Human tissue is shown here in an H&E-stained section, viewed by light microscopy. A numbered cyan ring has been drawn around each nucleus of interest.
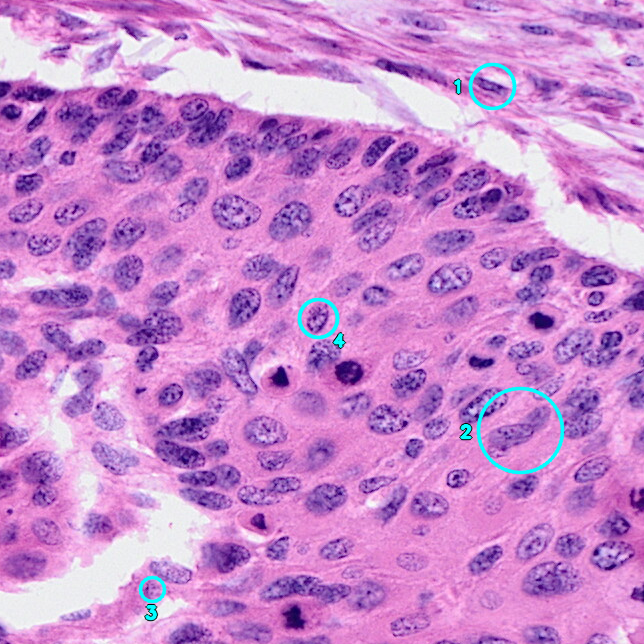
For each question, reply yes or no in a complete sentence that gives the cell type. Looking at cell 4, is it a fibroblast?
No, number 4 identifies a squamous carcinoma cell, not a fibroblast.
